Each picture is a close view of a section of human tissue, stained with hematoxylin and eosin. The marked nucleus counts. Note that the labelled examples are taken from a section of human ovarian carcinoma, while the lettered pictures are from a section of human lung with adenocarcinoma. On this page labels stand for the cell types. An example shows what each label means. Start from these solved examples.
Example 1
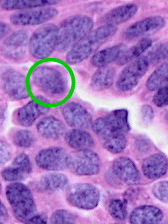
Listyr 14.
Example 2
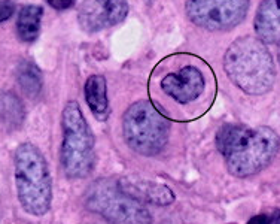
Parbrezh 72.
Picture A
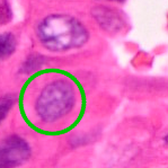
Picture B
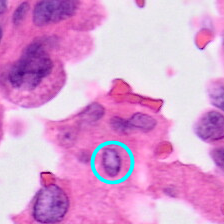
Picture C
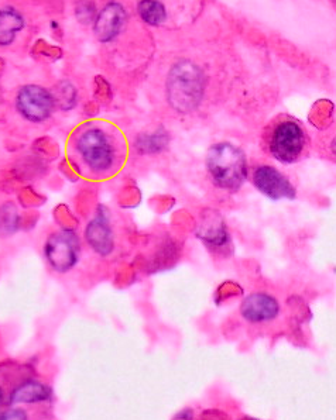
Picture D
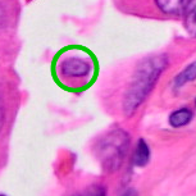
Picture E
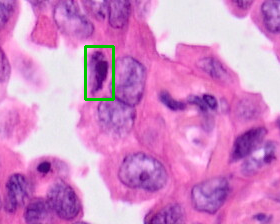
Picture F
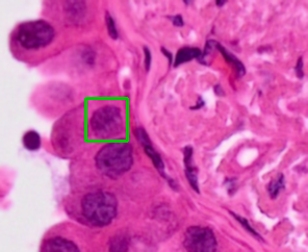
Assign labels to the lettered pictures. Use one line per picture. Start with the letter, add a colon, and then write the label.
A: Listyr 14.
B: Parbrezh 72.
C: Parbrezh 72.
D: Parbrezh 72.
E: Listyr 14.
F: Listyr 14.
